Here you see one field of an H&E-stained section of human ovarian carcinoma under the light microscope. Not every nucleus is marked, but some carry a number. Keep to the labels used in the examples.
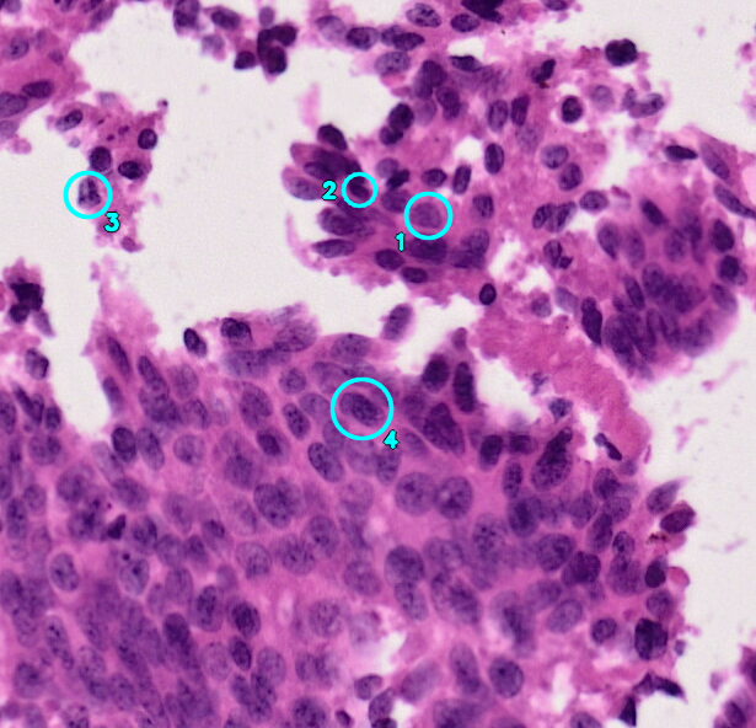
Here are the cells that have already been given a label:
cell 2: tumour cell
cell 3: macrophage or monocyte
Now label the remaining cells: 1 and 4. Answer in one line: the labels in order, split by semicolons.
tumour cell; tumour cell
